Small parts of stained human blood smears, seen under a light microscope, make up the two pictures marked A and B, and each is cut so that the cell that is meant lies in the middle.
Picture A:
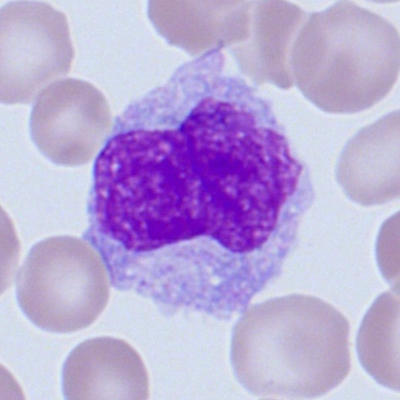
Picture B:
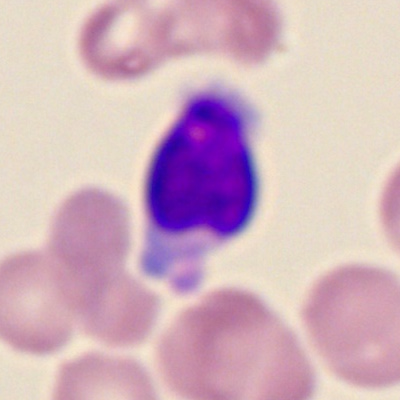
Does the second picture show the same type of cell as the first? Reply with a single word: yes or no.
no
